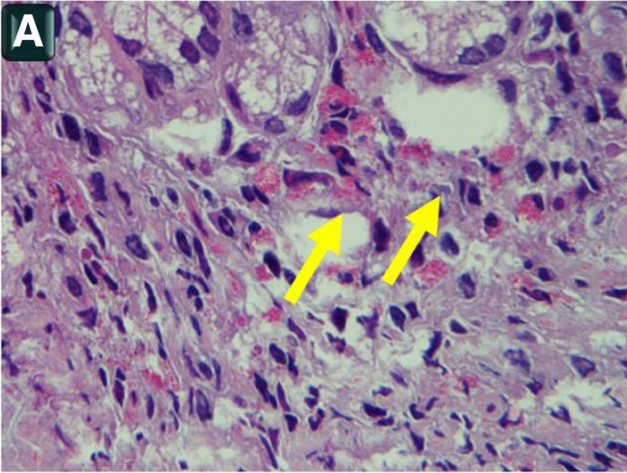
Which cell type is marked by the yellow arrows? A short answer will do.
eosinophils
